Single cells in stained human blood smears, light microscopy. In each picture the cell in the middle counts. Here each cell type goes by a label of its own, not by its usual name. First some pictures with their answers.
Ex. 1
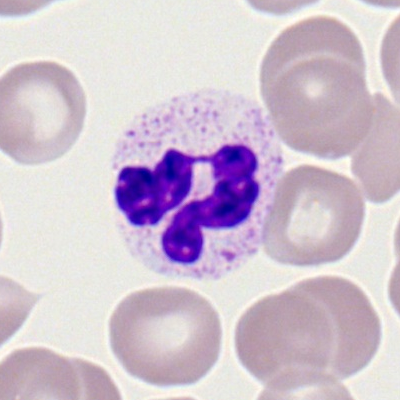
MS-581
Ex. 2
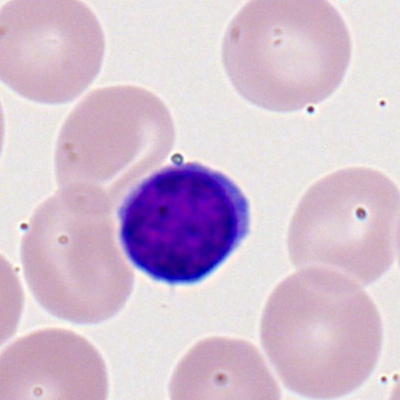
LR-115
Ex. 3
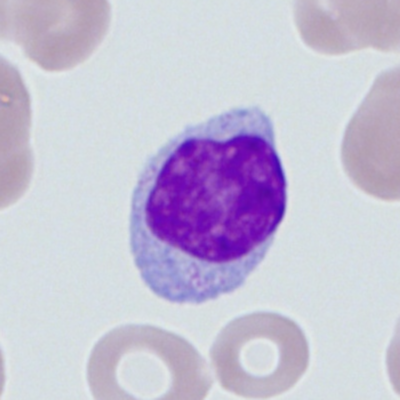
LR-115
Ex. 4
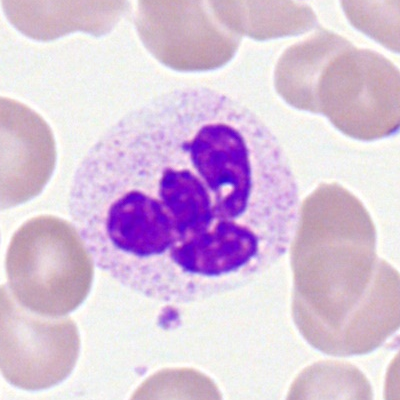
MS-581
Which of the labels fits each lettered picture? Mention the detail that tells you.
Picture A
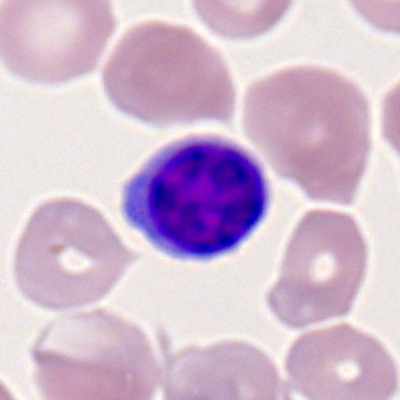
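LR-115: The cytoplasm is a scant rim that is widest on the left side.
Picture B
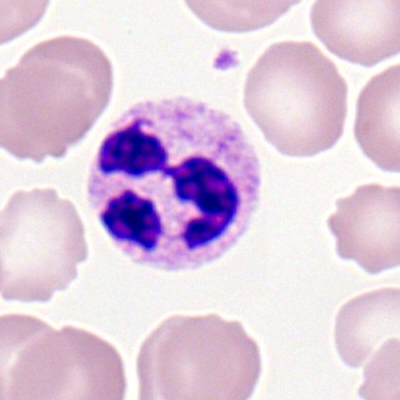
MS-581: The cytoplasm is abundant and pale pink-lilac.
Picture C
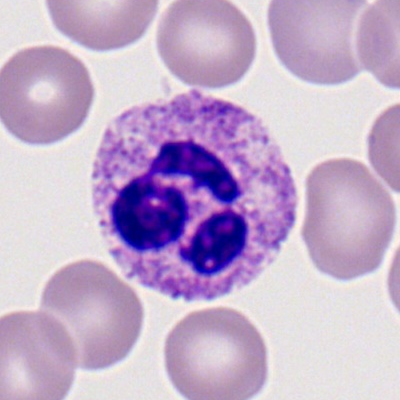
MS-581: The nucleus is divided into three separate lobes.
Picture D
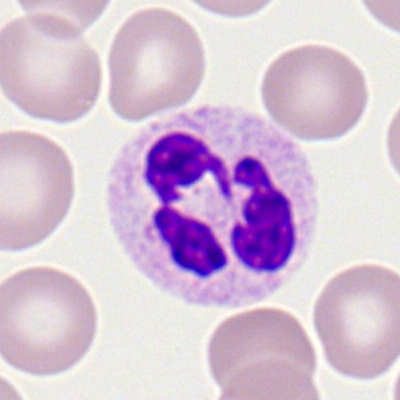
MS-581: Plenty of pale pink-lilac cytoplasm surrounds the nucleus.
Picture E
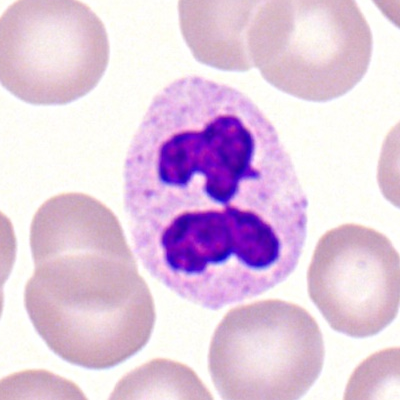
MS-581: The nucleus is divided into two lobes.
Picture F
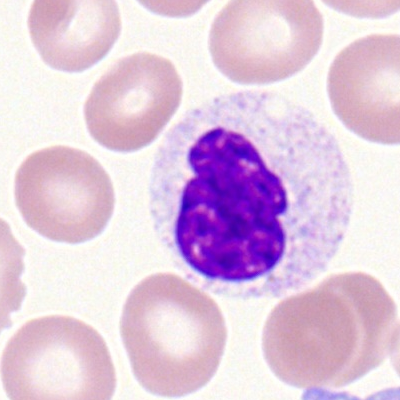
MS-581: The cytoplasm is plentiful and pale greyish-lilac.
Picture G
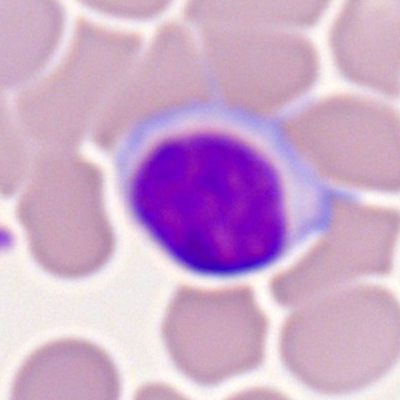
LR-115: The nucleus fills most of the cell.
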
